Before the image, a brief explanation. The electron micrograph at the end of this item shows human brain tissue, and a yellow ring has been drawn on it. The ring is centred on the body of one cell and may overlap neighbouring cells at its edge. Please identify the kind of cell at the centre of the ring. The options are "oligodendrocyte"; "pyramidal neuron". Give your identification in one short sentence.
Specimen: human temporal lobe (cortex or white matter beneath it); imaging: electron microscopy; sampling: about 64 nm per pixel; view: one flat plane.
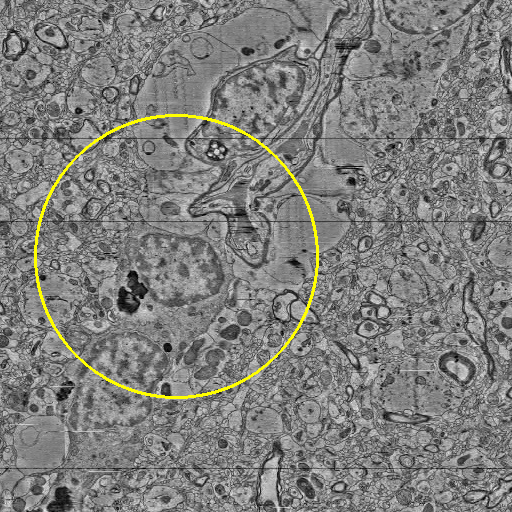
The ring has been placed around an oligodendrocyte.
